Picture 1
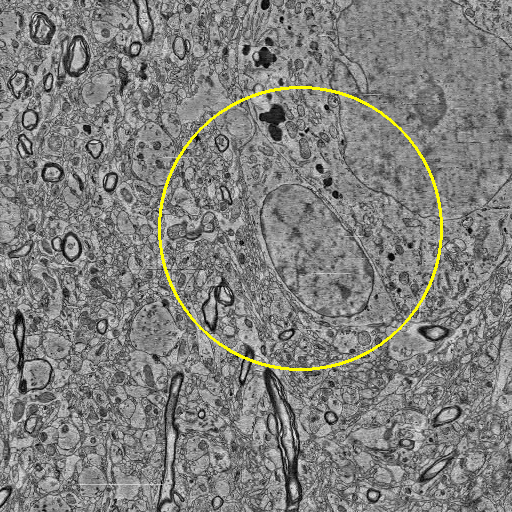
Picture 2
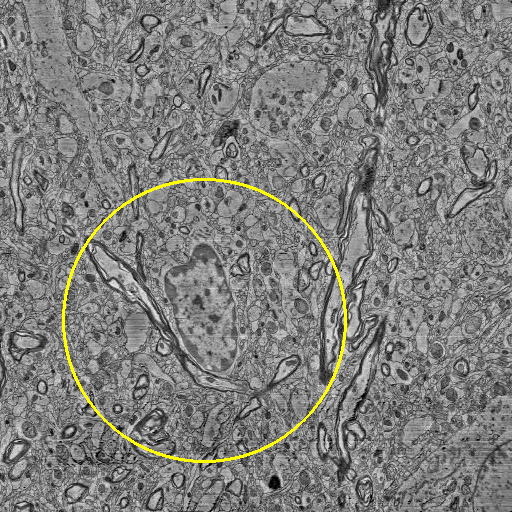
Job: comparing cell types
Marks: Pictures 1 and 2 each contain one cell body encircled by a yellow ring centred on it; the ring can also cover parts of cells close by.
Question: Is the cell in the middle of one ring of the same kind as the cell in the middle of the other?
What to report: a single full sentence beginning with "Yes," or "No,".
Yes, the cell at the ring centre in Picture 1 and its partner in Picture 2 are of one kind.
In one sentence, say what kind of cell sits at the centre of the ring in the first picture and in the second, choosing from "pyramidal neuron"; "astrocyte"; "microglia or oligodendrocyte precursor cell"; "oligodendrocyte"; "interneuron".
In each picture the ringed cell is a microglial cell or oligodendrocyte precursor cell.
